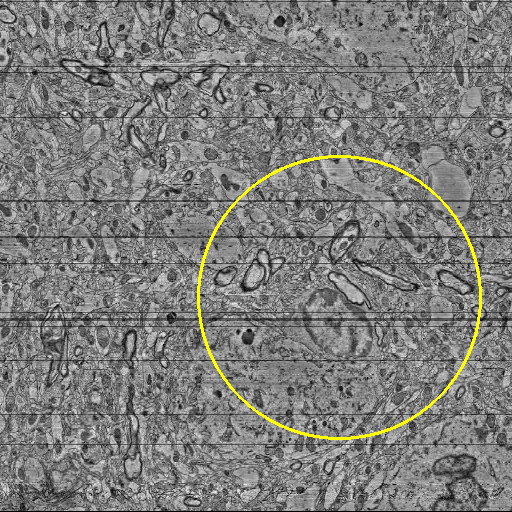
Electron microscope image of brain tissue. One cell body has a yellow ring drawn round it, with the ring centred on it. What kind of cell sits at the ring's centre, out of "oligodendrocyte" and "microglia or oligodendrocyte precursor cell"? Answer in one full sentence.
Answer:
It is an oligodendrocyte whose cell body sits at the centre of the yellow ring.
